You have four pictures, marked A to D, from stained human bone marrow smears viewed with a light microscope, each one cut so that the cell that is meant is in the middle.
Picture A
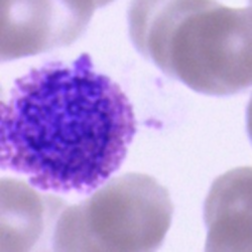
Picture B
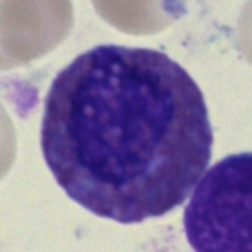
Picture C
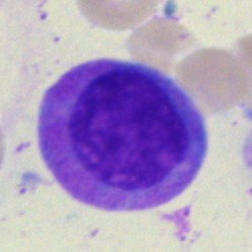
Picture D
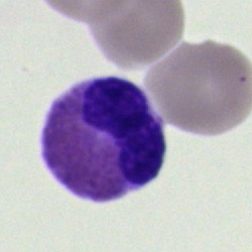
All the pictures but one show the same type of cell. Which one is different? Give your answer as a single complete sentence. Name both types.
Picture C is the odd one out: it shows a promyelocyte, while the others show eosinophils.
